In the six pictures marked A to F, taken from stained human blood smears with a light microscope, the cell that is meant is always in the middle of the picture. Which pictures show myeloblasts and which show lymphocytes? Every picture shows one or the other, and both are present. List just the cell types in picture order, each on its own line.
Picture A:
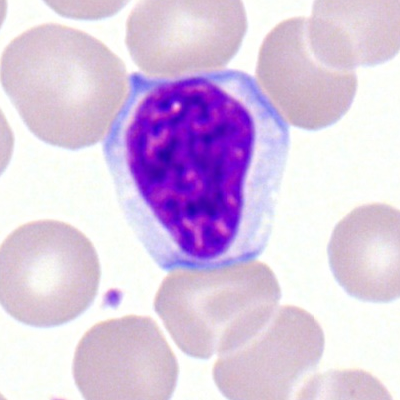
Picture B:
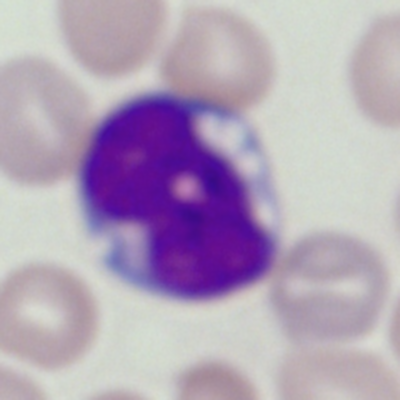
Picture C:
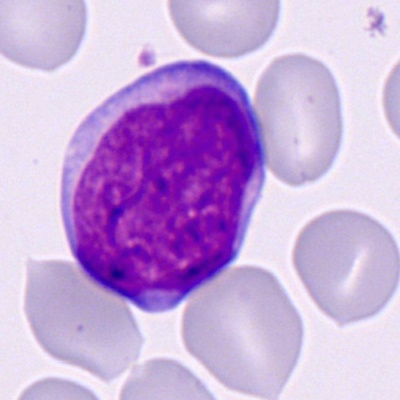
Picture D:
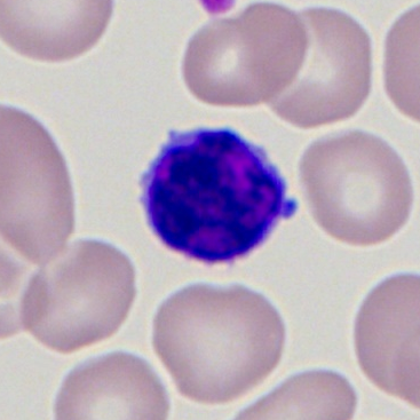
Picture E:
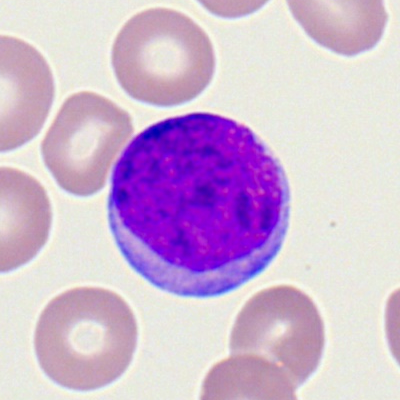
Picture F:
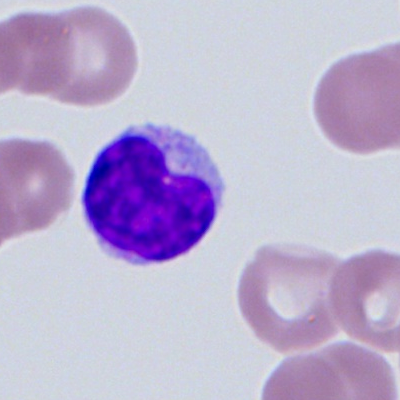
lymphocyte
myeloblast
myeloblast
lymphocyte
myeloblast
lymphocyte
